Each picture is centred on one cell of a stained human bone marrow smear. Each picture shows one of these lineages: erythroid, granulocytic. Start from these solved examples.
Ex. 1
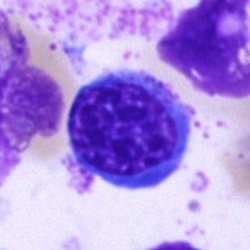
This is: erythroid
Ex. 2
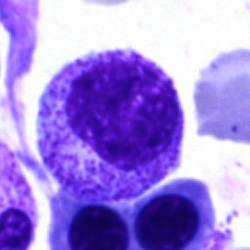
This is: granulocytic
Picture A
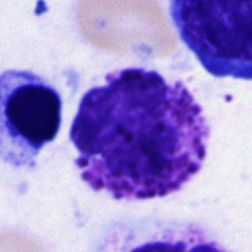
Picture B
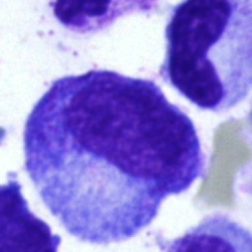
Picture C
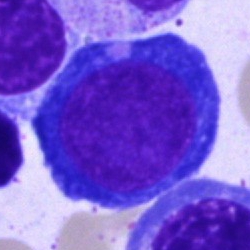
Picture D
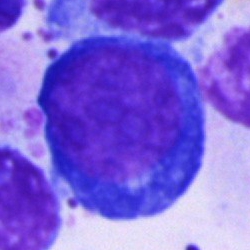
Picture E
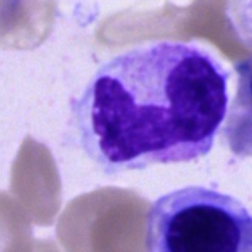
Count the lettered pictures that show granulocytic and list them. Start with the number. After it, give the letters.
Count: 3 (A, B, E)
